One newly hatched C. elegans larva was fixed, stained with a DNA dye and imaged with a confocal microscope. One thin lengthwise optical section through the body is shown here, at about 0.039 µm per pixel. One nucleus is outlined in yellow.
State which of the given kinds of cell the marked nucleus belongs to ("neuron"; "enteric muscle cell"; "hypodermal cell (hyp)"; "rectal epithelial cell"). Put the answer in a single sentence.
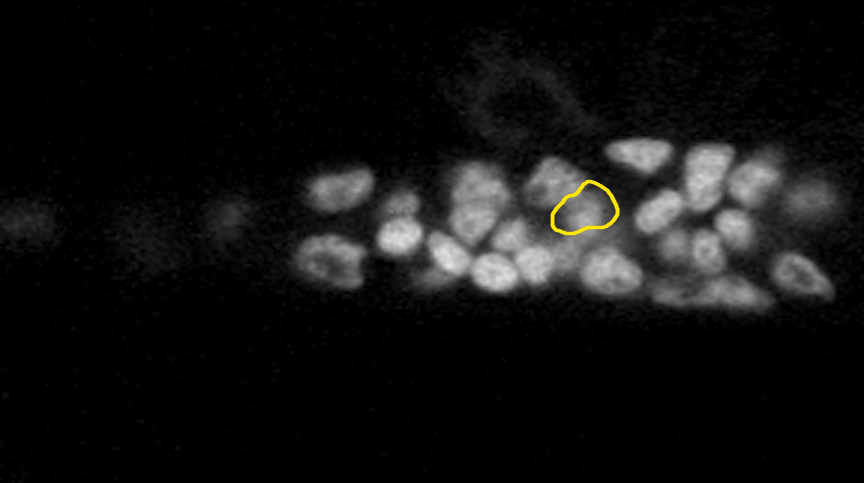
The marked cell is a neuron.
